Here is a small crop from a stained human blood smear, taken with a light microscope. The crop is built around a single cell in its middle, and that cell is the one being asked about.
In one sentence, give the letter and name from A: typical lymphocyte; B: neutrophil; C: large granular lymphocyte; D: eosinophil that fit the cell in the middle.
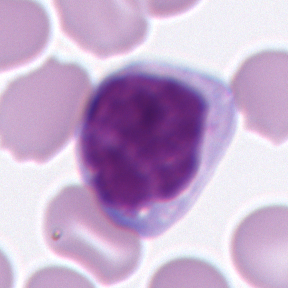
In this crop the middle cell is a typical lymphocyte, so option A is the correct answer.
